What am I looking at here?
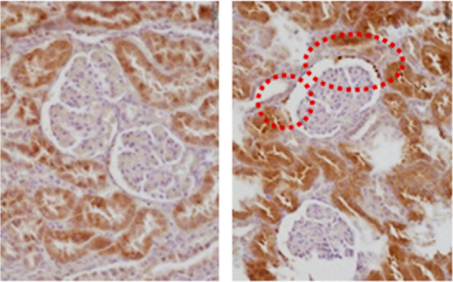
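This is renal cortex with glomeruli surrounded by tubules, the brown stain sitting mostly in the tubules. The tubular epithelial cells have abundant cytoplasm that takes up the brown stain strongly, with blue nuclei along their bases. The glomeruli appear as rounded tufts with many small blue nuclei and remain largely unstained. Around each tuft lies a clear space bounded by a thin capsule.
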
